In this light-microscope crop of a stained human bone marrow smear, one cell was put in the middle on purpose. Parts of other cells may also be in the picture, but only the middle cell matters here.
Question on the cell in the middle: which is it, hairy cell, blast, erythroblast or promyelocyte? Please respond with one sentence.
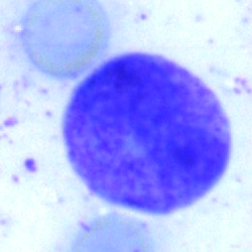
The middle cell in this particular crop is a promyelocyte.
